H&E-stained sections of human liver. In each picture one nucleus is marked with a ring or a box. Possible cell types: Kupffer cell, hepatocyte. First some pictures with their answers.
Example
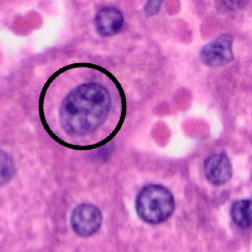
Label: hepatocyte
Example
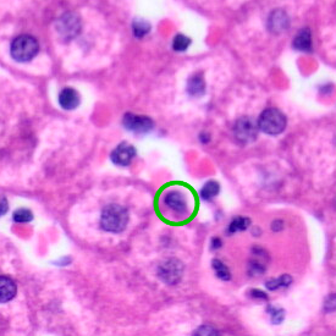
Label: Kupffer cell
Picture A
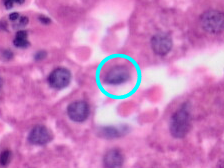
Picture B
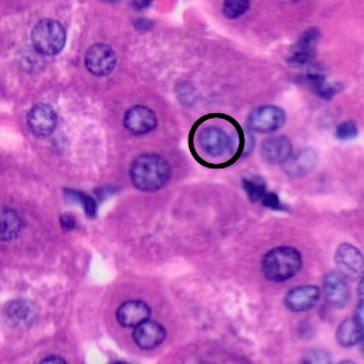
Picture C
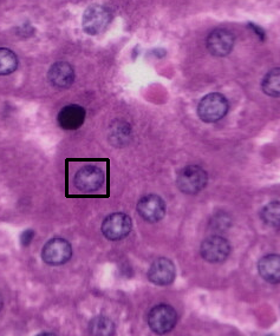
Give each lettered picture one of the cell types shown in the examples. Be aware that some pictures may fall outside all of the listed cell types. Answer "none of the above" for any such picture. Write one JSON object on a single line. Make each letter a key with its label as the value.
{"A": "Kupffer cell", "B": "none of the above", "C": "hepatocyte"}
